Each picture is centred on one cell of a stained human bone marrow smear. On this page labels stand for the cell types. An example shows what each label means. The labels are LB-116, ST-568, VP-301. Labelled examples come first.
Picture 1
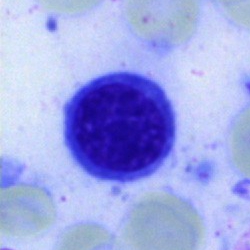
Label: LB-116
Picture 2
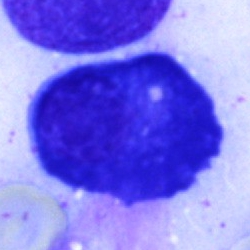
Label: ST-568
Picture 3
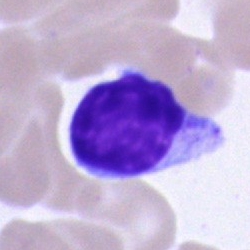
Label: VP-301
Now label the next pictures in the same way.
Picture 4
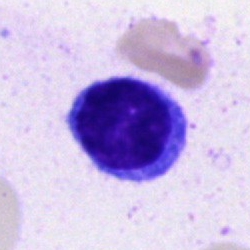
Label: VP-301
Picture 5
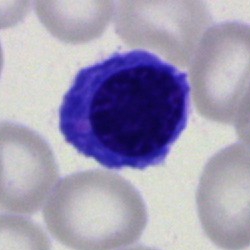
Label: LB-116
